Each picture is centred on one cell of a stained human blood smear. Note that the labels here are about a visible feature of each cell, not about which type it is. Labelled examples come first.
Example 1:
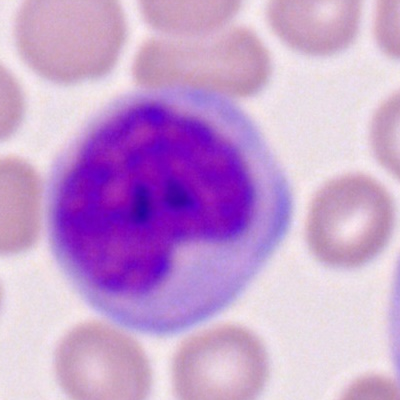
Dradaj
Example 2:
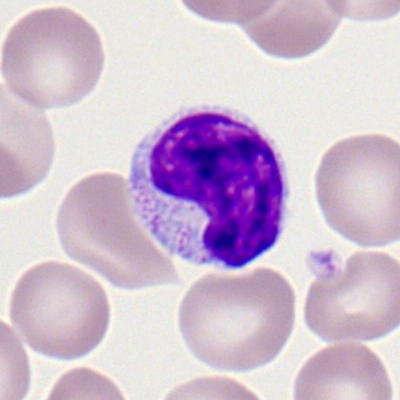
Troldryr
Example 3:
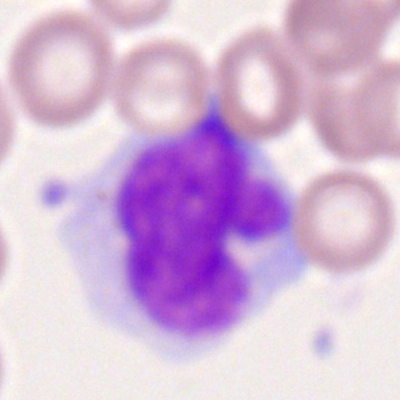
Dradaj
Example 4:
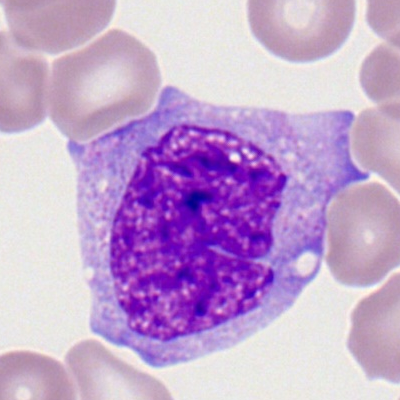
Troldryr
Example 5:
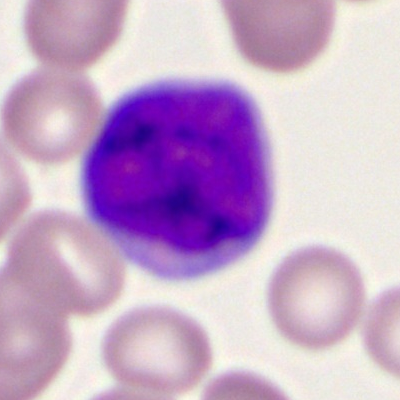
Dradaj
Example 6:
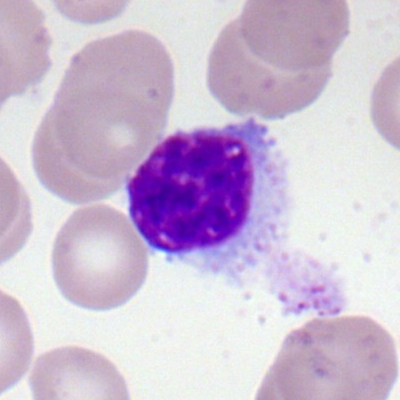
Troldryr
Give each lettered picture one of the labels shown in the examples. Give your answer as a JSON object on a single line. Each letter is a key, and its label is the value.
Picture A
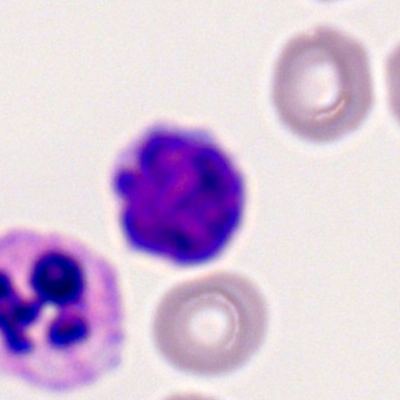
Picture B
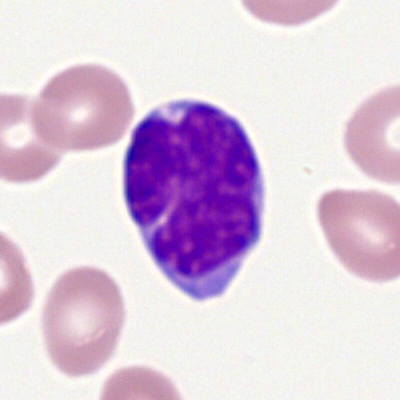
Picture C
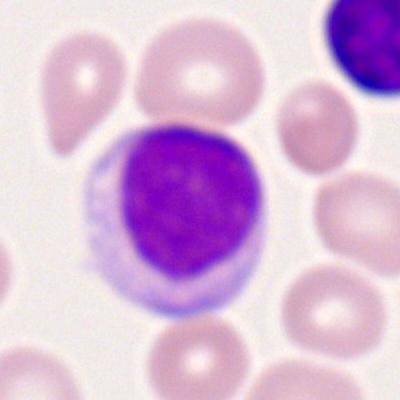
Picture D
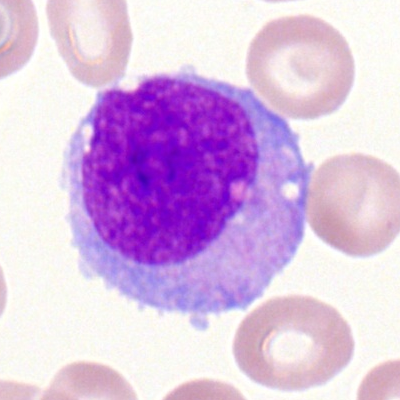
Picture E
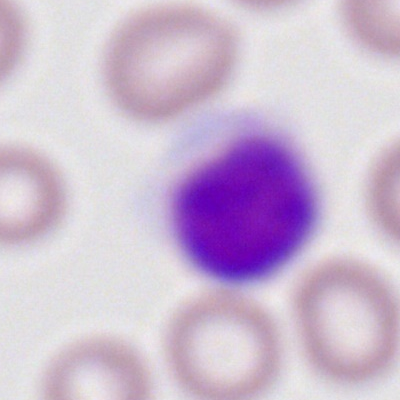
{"A": "Troldryr", "B": "Dradaj", "C": "Dradaj", "D": "Troldryr", "E": "Dradaj"}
